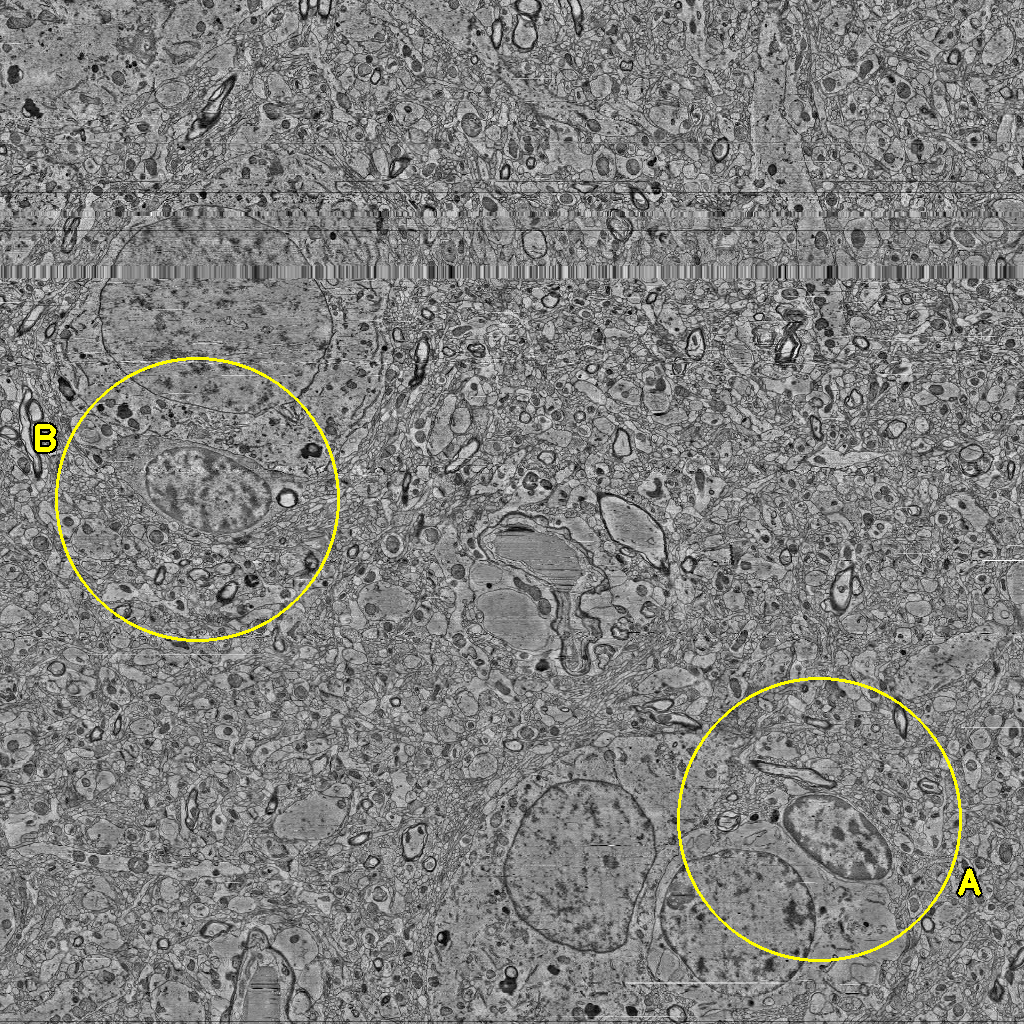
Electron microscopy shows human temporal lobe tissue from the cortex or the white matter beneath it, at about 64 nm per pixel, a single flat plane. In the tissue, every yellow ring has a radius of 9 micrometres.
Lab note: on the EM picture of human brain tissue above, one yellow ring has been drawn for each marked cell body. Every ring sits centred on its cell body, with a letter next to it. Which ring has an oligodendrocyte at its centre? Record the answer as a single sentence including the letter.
Noted: the cell in question is at the centre of ring B.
